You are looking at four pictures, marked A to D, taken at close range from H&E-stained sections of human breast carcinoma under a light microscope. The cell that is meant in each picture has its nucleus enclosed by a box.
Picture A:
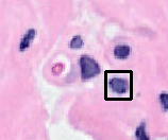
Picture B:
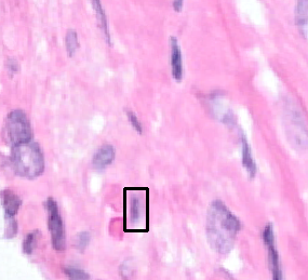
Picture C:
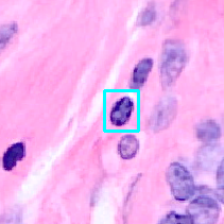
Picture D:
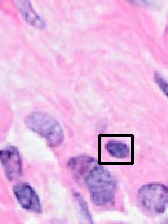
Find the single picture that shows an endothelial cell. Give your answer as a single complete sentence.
It is picture B that shows the endothelial cell.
